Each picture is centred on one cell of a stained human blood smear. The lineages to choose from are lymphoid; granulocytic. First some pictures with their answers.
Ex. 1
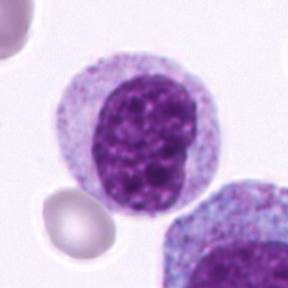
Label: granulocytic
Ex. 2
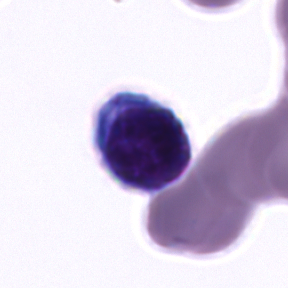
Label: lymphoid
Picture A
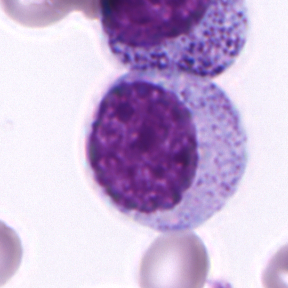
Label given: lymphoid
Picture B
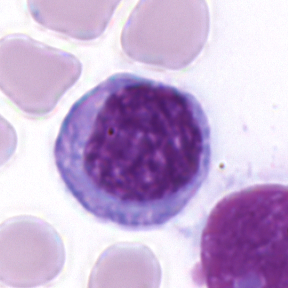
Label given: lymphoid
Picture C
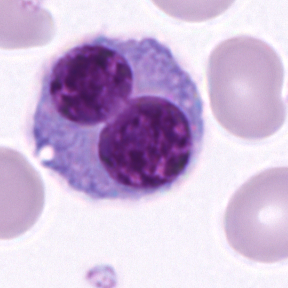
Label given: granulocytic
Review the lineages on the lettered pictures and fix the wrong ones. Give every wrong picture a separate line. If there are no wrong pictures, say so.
A is labelled lymphoid; correct label: granulocytic
C is labelled granulocytic; correct label: lymphoid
